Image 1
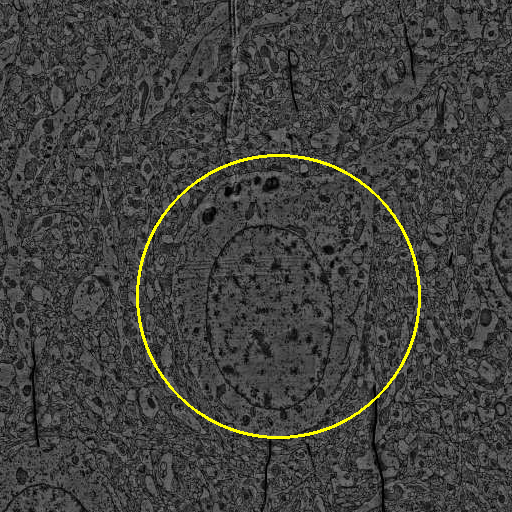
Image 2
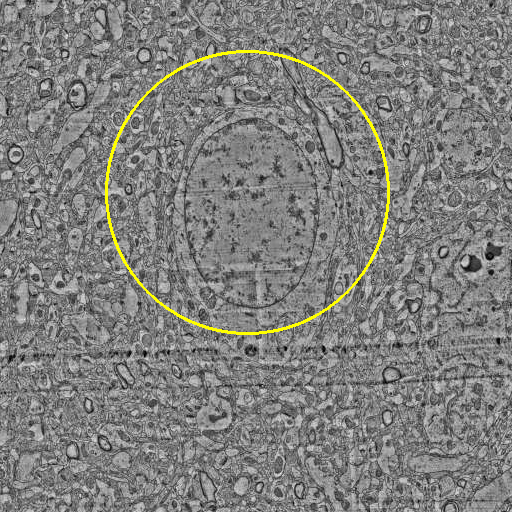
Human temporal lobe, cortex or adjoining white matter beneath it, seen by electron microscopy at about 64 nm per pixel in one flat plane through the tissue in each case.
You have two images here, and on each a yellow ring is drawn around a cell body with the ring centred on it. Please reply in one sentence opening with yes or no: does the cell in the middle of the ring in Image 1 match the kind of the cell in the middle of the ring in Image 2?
Yes, the two images show cells of one kind at the centres of their rings.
